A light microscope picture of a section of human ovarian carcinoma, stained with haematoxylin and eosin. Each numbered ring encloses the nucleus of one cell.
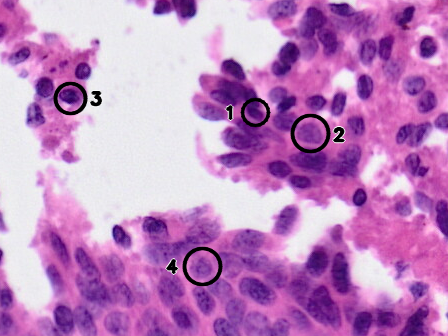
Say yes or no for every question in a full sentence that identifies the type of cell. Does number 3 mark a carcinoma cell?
No, cell 3 is not a carcinoma cell at all but a macrophage or monocyte.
